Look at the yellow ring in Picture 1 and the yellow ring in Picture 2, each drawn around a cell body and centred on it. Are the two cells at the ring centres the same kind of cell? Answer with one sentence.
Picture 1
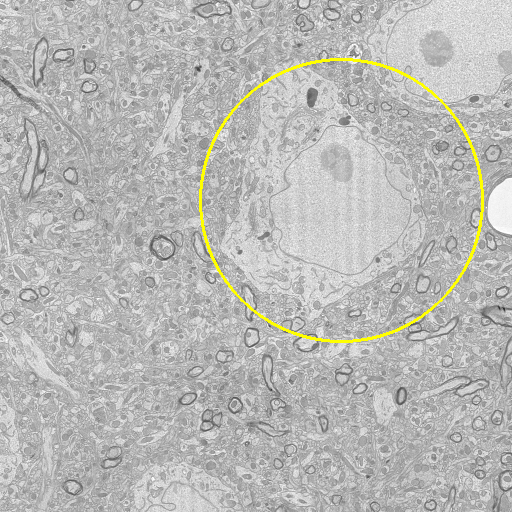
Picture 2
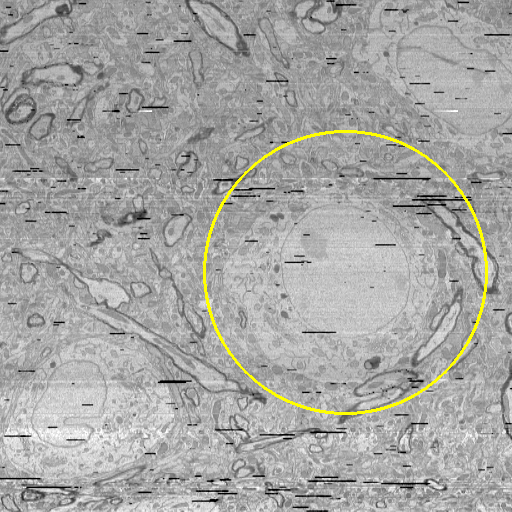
Yes, both are the same kind of cell.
